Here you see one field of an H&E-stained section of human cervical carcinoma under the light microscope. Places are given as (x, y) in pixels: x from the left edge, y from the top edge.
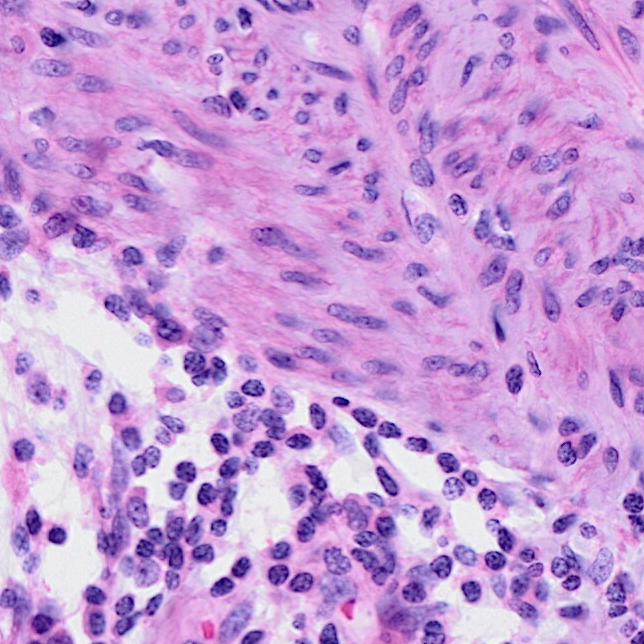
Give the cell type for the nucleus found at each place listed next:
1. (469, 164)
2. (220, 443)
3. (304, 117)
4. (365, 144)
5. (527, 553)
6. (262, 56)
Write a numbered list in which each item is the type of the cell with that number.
1. smooth muscle cell
2. lymphocyte
3. smooth muscle cell
4. smooth muscle cell
5. lymphocyte
6. smooth muscle cell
